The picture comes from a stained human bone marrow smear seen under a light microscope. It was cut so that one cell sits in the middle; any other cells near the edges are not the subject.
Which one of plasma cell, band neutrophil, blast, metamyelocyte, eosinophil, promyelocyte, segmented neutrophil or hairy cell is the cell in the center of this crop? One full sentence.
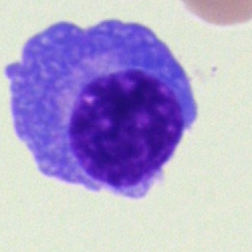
The cell centered in this field of view is a plasma cell.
